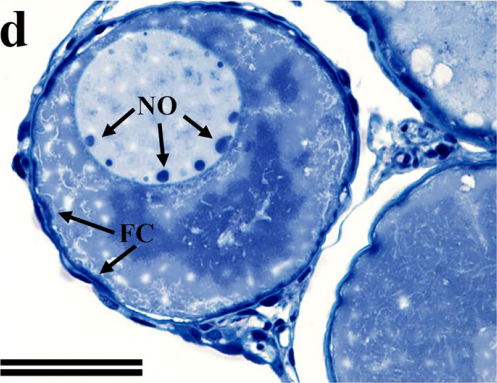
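This is a single primary growth oocyte in the ovary, with its surrounding follicle cells. The nucleus is large, pale and round, placed somewhat off centre, and several dark-blue round nucleoli sit against its inner margin, with more faint material inside. The cytoplasm is light to mid blue with darker cloudy zones and small pale vacuole-like spots, and it has no yolk granules. Around the whole oocyte runs a thin rim of flattened follicle cells whose small, dark, elongated nuclei bulge slightly at the edge. Parts of neighbouring, larger oocytes and loose stromal cells lie beside it.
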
